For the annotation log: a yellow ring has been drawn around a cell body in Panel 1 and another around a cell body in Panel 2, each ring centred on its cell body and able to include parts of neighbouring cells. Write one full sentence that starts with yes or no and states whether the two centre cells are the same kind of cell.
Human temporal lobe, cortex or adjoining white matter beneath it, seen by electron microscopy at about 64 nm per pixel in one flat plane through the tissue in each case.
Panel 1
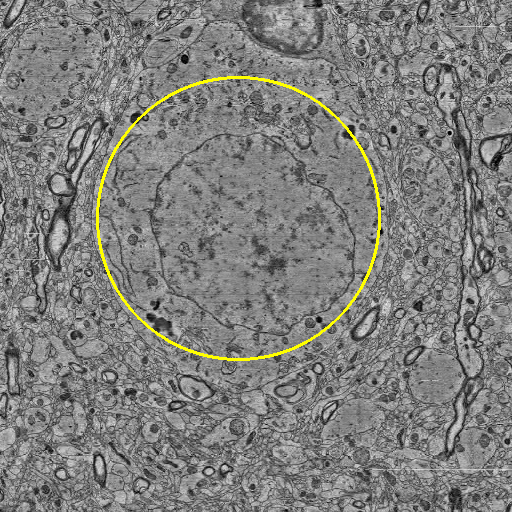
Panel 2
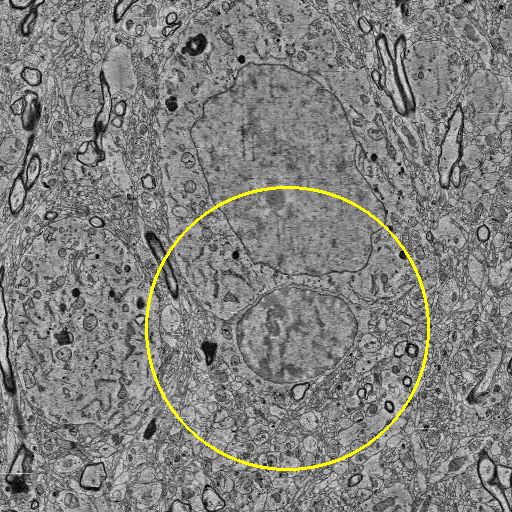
No, the two centre cells are two kinds of cell.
